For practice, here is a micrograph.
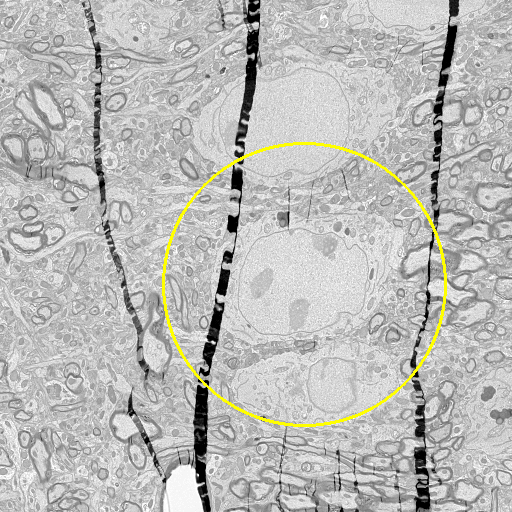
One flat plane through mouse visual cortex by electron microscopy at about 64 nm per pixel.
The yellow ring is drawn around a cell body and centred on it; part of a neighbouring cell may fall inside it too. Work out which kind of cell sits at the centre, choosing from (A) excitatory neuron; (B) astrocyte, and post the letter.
A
